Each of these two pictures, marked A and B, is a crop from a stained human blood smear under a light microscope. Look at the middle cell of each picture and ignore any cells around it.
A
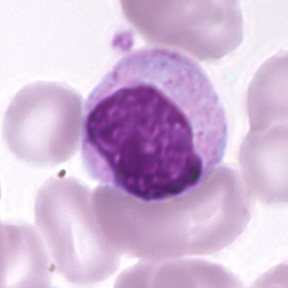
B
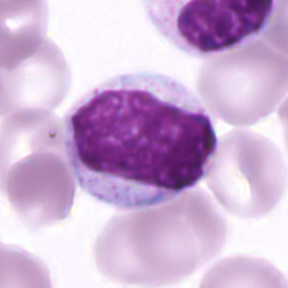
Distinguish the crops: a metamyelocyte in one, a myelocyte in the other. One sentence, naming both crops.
The centred cell is a myelocyte in crop A and a metamyelocyte in crop B.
